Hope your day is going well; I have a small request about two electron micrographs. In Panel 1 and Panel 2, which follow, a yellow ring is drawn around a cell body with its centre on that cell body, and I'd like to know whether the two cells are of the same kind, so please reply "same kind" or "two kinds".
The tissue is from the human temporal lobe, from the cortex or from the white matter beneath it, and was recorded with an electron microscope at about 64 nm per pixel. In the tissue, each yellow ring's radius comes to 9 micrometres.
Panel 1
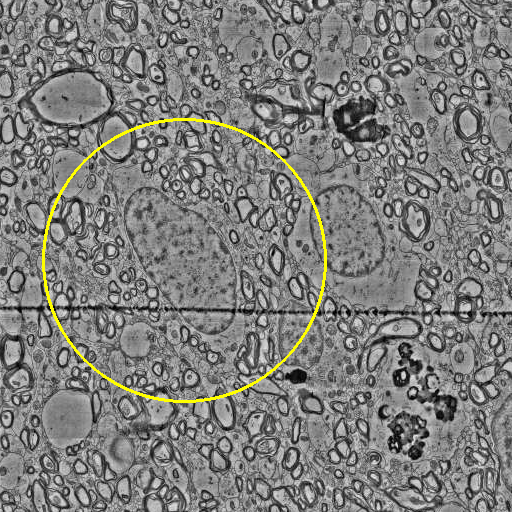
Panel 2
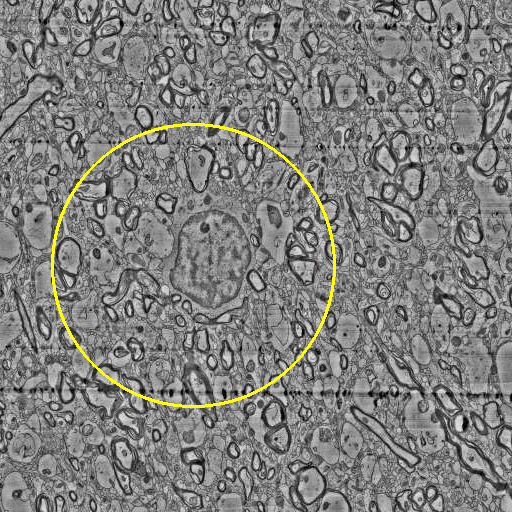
two kinds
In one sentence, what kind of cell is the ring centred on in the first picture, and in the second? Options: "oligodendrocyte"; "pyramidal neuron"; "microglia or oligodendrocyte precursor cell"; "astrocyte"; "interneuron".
The cell at the centre of the second ring is an oligodendrocyte; the first ring's cell is a microglial cell or oligodendrocyte precursor cell.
